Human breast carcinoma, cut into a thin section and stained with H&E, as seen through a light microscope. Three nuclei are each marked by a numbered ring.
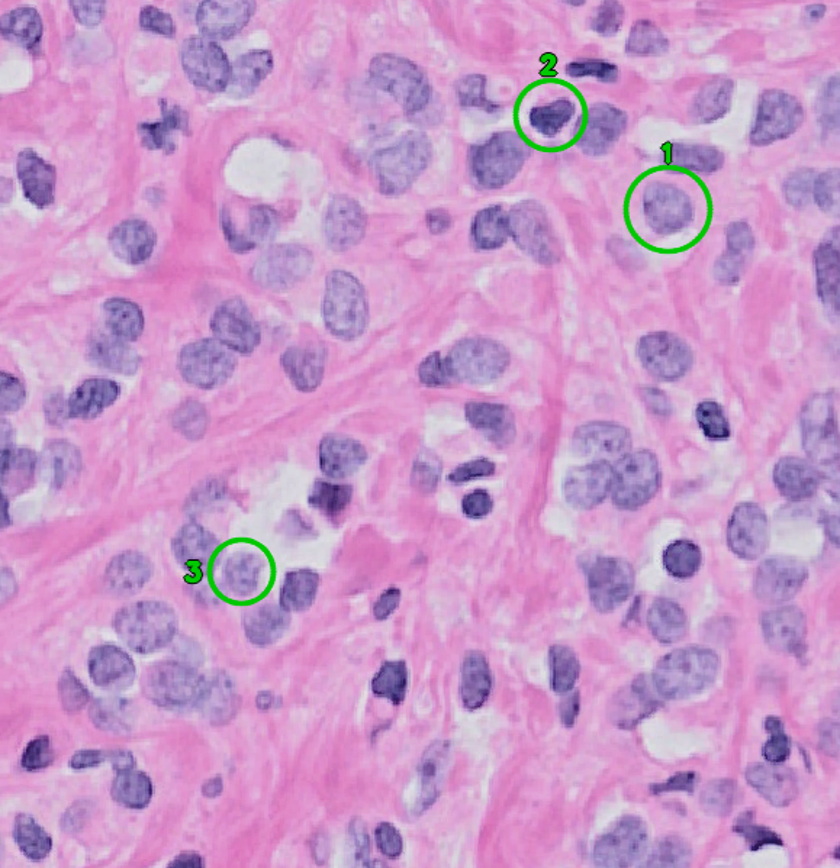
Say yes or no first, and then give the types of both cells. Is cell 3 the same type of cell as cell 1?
Yes, both cell 3 and cell 1 are carcinoma cells.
